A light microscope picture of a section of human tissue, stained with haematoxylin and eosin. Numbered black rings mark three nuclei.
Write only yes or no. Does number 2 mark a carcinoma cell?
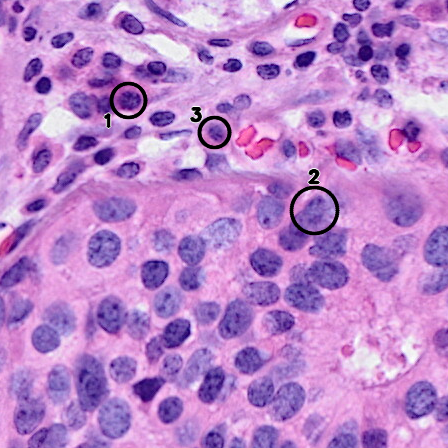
yes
